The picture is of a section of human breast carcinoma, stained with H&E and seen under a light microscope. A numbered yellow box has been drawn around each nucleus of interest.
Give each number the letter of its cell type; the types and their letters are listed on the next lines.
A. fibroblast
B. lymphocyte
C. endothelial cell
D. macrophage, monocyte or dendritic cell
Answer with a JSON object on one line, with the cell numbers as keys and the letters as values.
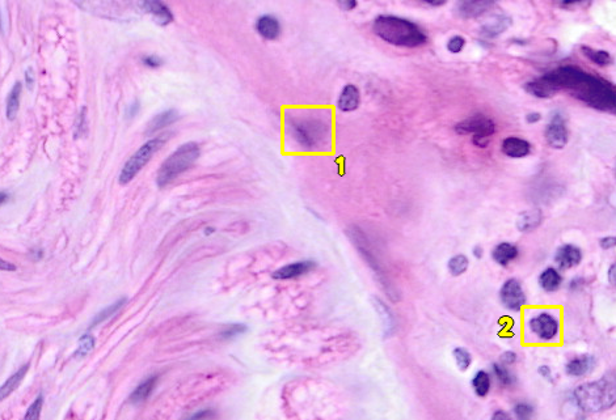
{"1": "A", "2": "B"}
